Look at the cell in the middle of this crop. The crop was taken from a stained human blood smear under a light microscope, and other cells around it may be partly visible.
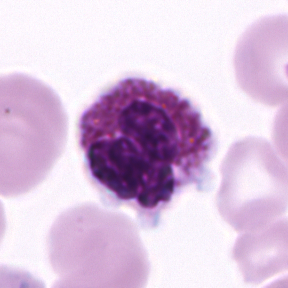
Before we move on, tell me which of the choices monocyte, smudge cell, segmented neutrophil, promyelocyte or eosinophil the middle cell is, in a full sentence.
The cell centered in this field of view is an eosinophil.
